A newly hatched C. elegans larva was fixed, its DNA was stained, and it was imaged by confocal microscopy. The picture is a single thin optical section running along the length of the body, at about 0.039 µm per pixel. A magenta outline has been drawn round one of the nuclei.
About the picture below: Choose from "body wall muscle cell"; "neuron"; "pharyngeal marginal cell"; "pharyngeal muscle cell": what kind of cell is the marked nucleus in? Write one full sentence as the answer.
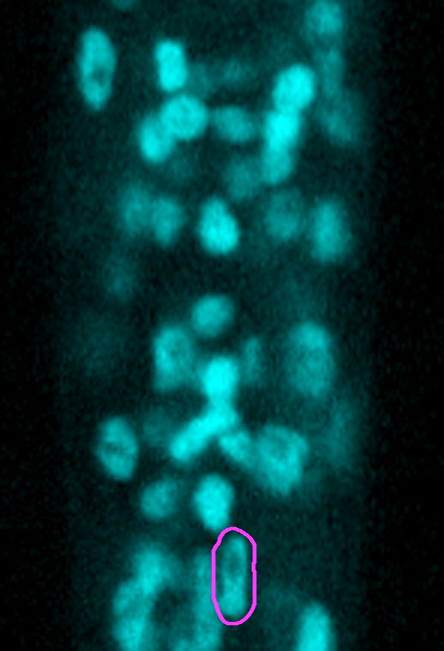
What is marked is the nucleus of a pharyngeal muscle cell.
